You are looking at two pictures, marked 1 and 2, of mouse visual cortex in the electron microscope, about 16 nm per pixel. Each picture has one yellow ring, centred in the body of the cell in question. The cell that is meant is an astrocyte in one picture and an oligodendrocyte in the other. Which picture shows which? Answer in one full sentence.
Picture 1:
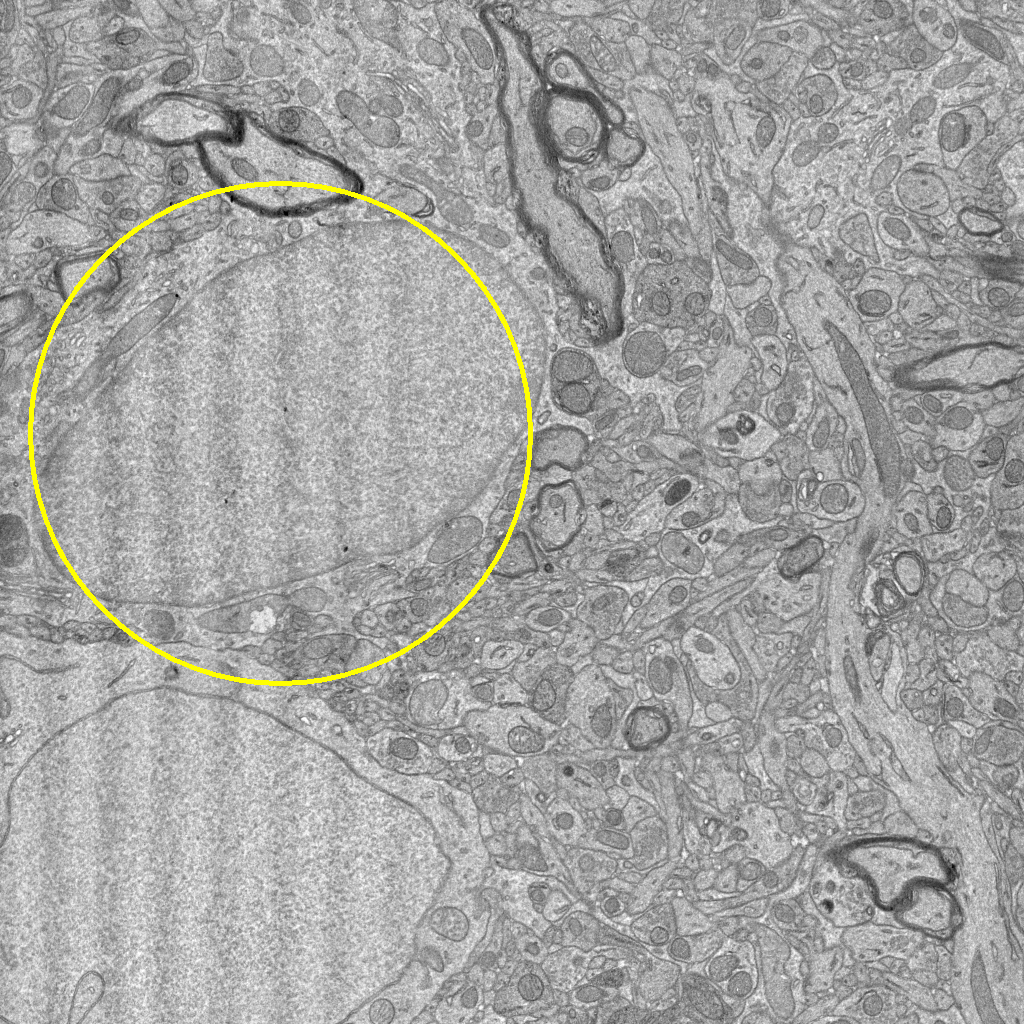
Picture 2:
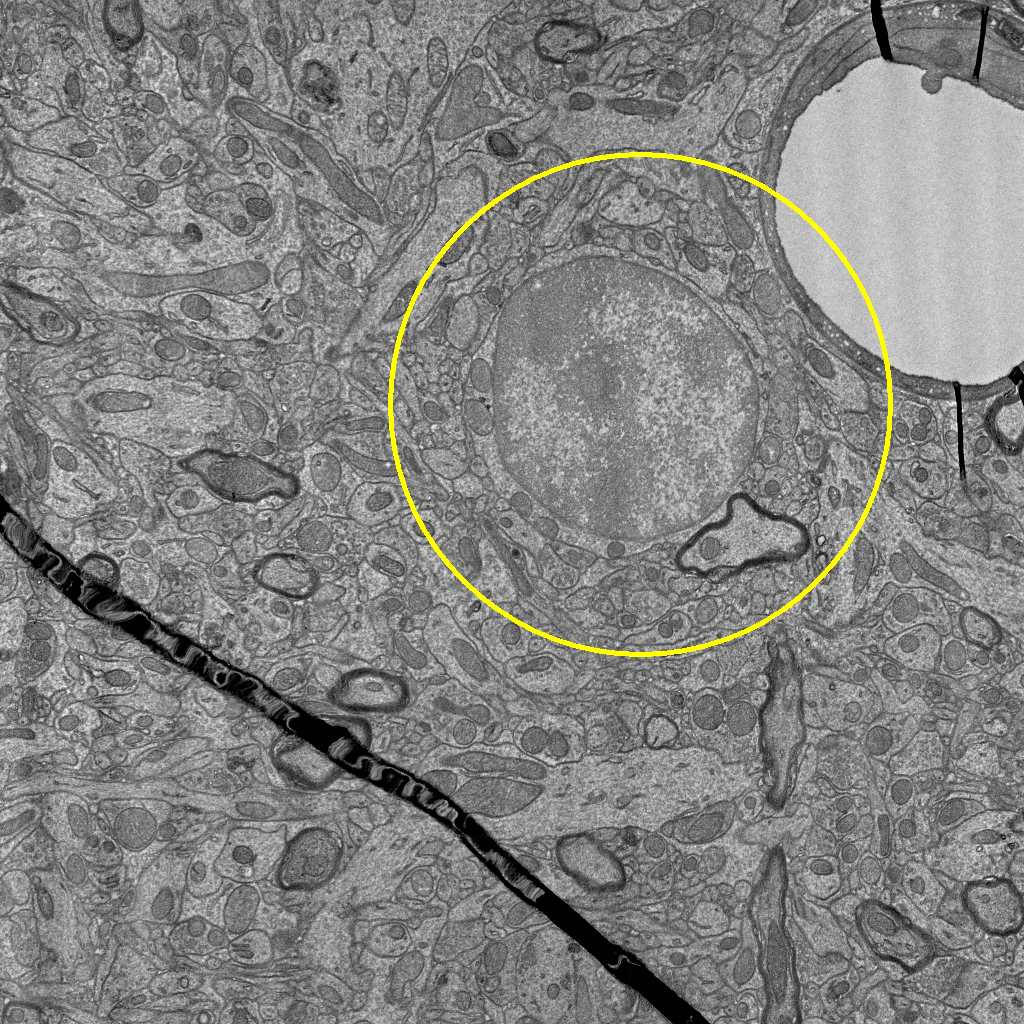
It is picture 1 that shows an astrocyte, and picture 2 that shows an oligodendrocyte.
